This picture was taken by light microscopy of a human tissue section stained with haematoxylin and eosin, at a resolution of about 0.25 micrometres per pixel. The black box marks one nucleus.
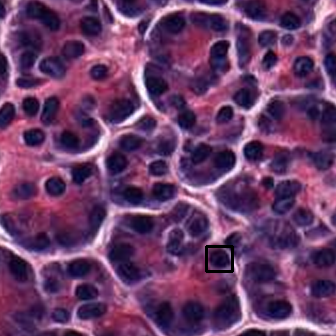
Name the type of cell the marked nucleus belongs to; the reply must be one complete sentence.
The marked nucleus sits within a pancreatic acinar cell.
